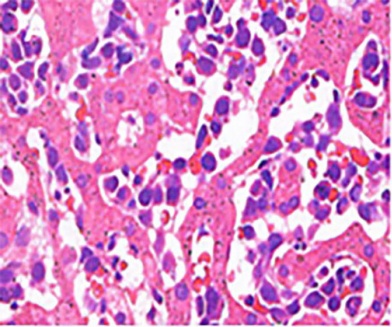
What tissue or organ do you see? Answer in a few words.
Liver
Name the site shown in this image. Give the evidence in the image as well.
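The channels run between plates of pink-staining cells. Red blood cells lie in the same channels.
Sinusoids.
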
